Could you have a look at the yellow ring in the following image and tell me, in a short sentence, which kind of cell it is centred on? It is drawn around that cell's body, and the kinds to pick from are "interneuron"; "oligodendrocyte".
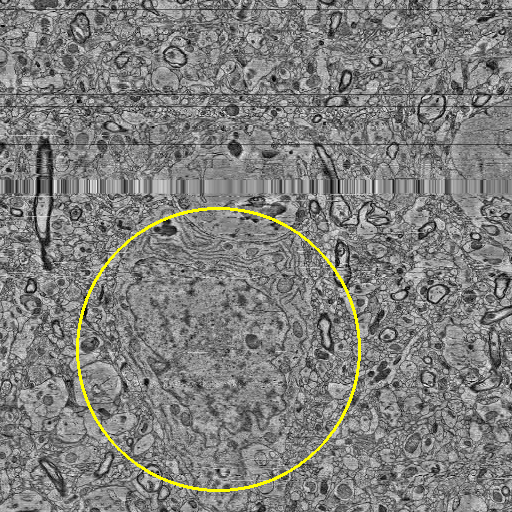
The ring is centred on the body of an interneuron.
